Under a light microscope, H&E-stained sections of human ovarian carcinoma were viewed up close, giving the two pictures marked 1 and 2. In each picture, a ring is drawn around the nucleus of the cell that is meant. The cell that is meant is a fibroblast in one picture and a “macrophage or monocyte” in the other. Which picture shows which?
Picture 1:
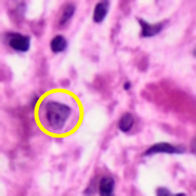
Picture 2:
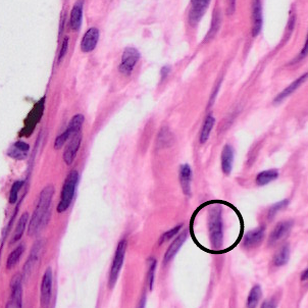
1: macrophage or monocyte
2: fibroblast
